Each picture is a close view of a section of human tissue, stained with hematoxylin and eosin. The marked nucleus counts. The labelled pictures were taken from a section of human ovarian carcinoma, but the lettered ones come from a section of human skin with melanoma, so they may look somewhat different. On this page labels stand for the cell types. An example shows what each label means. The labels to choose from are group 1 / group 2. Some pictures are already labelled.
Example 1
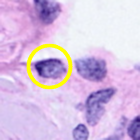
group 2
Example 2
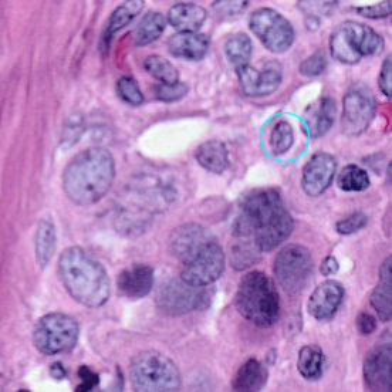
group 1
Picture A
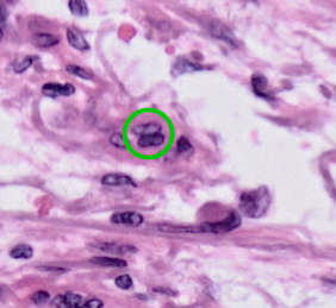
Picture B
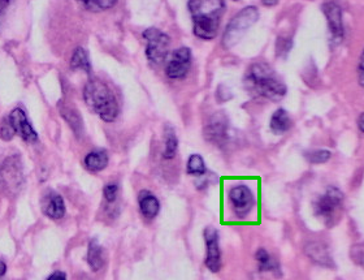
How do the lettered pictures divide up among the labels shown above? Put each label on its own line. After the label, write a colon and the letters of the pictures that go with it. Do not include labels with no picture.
group 1: B
group 2: A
